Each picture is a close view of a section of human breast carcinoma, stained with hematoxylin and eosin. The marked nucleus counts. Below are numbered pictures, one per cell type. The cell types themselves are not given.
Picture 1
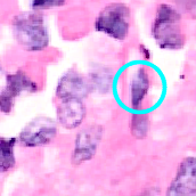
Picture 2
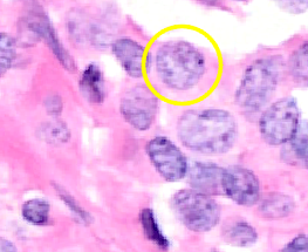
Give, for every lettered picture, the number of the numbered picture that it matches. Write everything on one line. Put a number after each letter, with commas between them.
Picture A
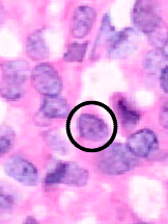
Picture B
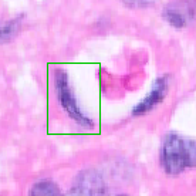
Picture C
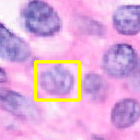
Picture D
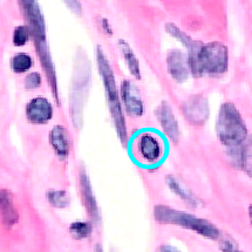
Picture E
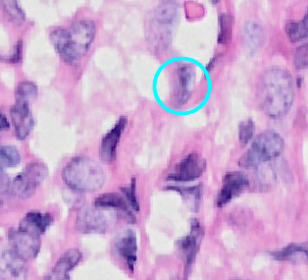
A 2, B 1, C 2, D 1, E 1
